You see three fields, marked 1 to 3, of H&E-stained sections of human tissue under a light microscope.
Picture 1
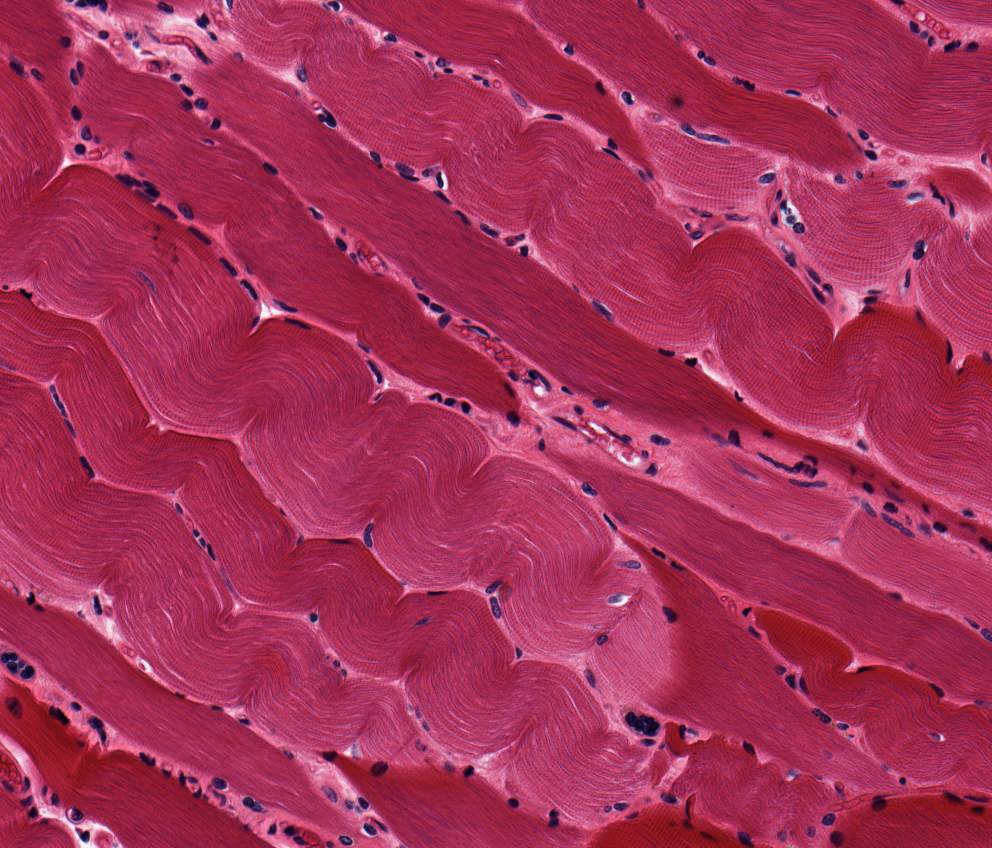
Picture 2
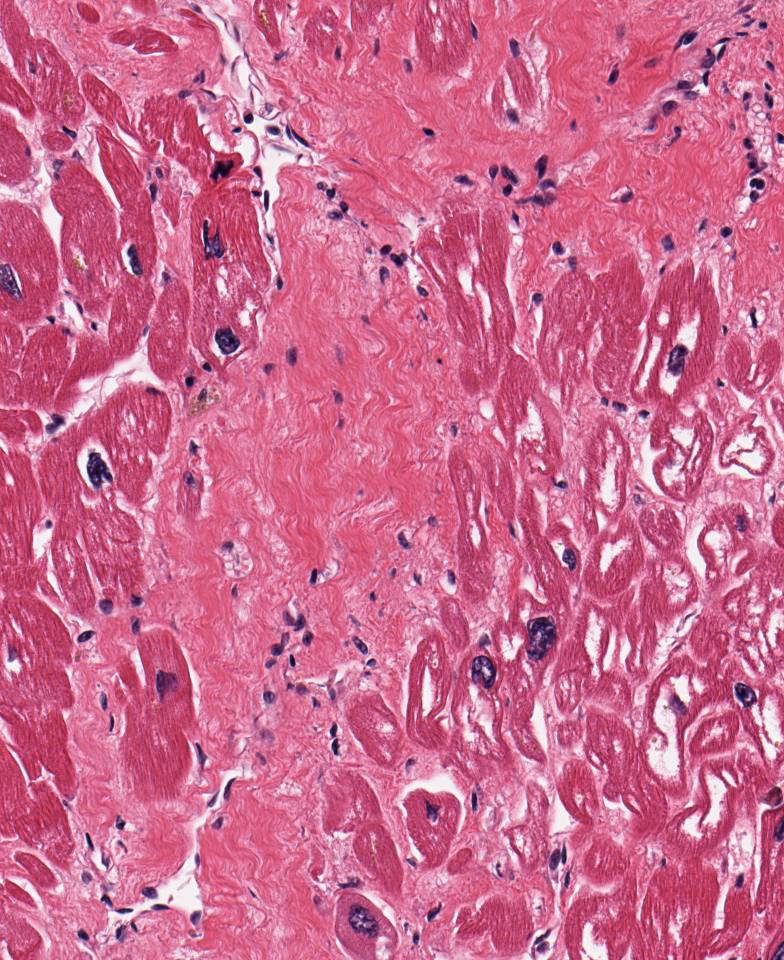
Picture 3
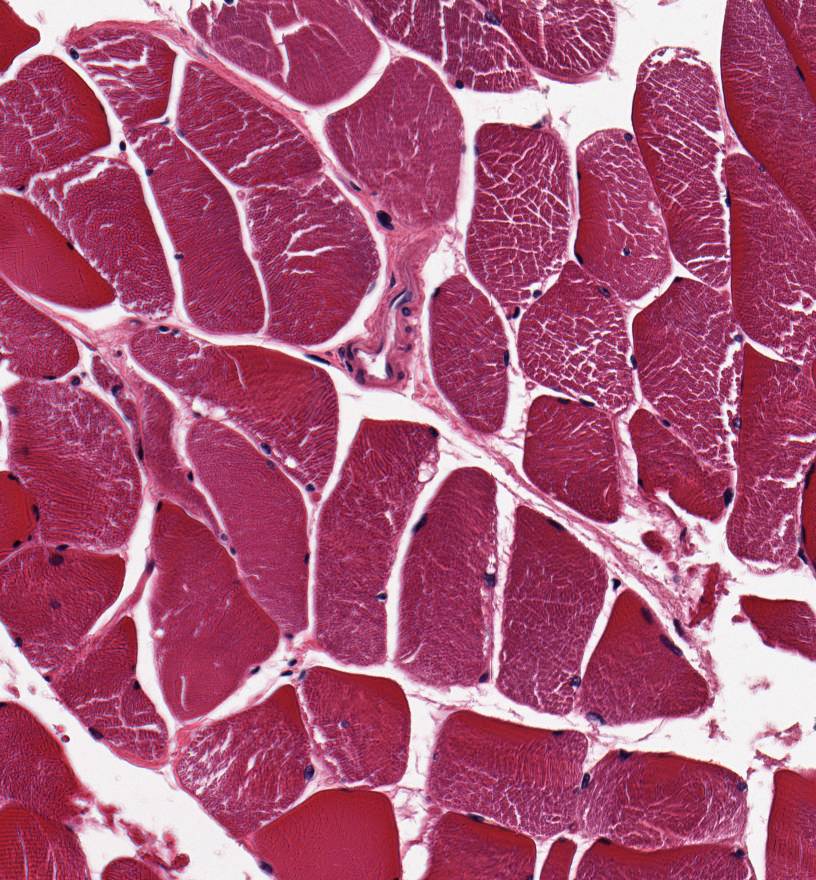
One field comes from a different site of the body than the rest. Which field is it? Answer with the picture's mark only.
2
